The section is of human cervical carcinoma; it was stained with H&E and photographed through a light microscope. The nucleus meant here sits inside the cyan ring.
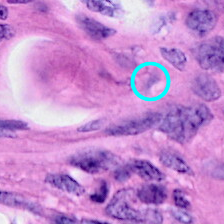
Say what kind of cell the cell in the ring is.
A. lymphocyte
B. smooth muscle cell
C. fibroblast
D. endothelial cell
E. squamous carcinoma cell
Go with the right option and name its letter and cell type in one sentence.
The accurate option is E, with the cell in the ring being a squamous carcinoma cell.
